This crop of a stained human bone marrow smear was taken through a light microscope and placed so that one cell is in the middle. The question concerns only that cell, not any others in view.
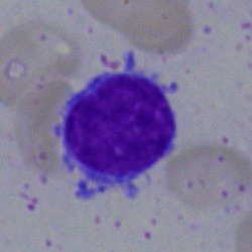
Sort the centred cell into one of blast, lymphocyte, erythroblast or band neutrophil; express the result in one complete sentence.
At the center of the crop sits a lymphocyte.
